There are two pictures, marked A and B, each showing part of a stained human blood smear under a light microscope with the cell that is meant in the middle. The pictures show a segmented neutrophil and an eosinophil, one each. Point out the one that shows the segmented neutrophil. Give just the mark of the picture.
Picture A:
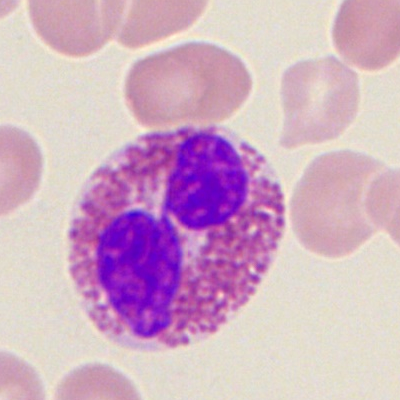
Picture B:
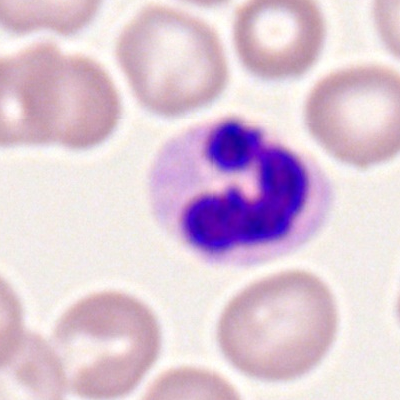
B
